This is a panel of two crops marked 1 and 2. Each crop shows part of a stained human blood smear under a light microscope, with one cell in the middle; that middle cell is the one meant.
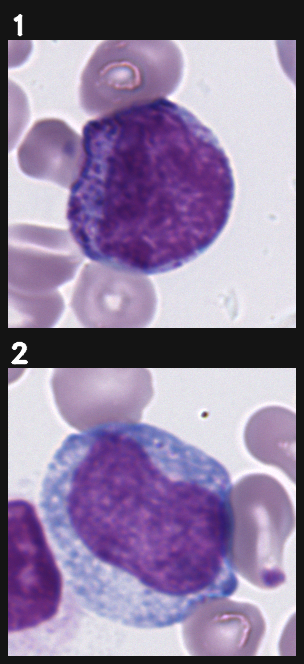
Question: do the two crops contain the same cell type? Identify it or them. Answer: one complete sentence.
Yes, promyelocytes are depicted in both crops.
